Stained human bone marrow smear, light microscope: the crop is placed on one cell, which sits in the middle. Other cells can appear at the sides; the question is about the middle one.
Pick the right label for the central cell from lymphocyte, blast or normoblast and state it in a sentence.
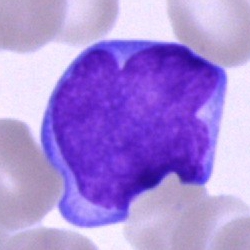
The cell under consideration, at the middle of the crop, is a blast.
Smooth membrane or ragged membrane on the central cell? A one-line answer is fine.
Around its whole circumference the outline stays smooth, free of projections.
